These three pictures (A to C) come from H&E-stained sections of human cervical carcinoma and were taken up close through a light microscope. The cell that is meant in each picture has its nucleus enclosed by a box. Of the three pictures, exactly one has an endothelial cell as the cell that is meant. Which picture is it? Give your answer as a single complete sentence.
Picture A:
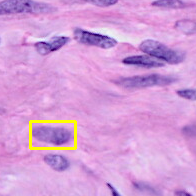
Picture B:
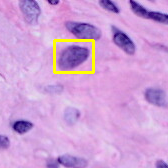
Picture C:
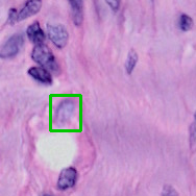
The cell in picture C is the endothelial cell.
